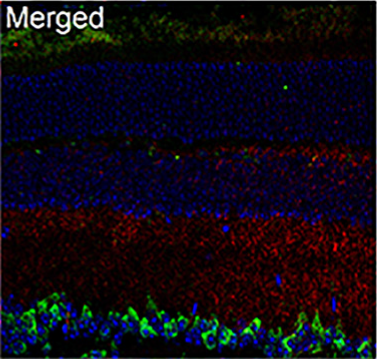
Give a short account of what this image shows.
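A cross-section of retina shows a thick band of tightly packed blue nuclei of the outer nuclear layer, a thinner plexiform gap, the inner nuclear layer, then a wide reddish plexiform band and at the bottom a crowded row of cells. Red is moderate and concentrated in the inner plexiform band, with the outer nuclear layer largely without red. In the bottom row, many cell bodies are outlined in bright green around blue nuclei, some with short tapering processes, marking ganglion cells of the ganglion cell layer. Faint green lies along the outer segment region at the top.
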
